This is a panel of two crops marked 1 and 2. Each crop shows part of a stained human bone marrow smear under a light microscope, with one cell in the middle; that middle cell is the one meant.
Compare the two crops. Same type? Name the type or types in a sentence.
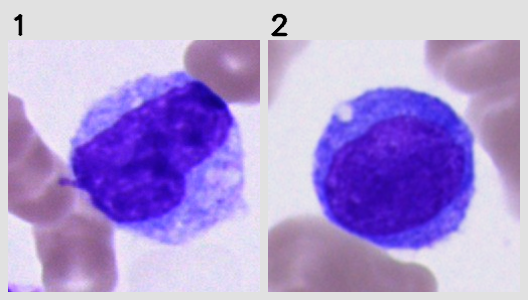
No, crop 2 shows a blast, and crop 1 shows a monocyte.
